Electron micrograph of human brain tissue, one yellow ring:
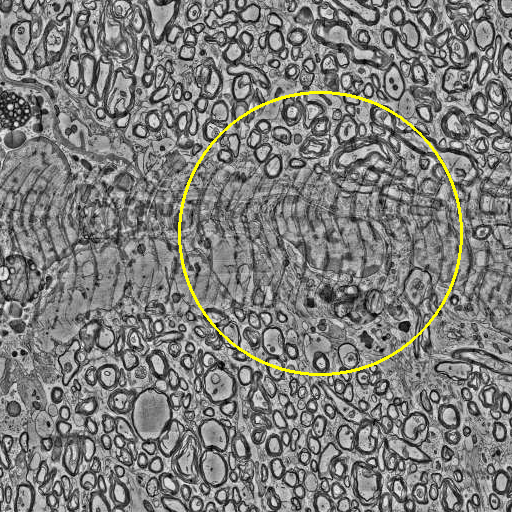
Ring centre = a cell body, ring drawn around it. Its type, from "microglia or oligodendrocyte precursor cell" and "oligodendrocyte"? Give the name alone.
microglia or oligodendrocyte precursor cell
